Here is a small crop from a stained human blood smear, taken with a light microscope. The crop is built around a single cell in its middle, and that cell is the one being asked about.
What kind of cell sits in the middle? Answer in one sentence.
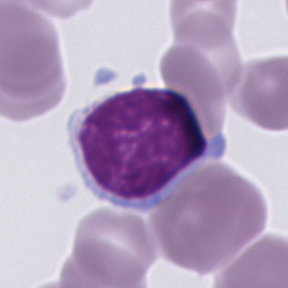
What sits at the centre of this crop is a large granular lymphocyte.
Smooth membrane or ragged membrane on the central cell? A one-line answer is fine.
The boundary of the cell runs irregularly, ragged in parts or drawn into projections.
